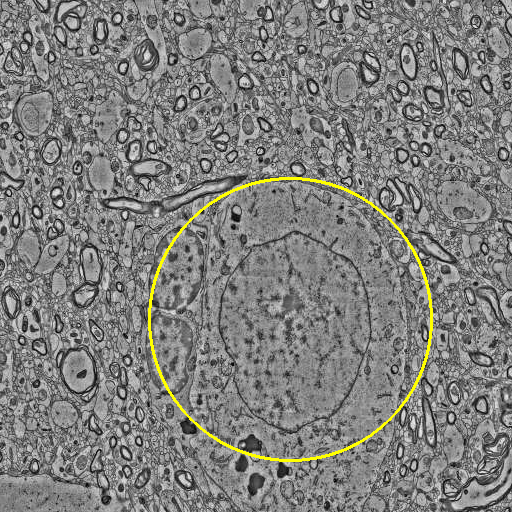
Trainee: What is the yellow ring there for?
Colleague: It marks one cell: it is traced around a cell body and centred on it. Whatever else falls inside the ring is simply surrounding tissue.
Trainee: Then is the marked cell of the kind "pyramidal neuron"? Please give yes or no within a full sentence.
Yes, the marked cell at the centre of the yellow ring is of the kind asked about.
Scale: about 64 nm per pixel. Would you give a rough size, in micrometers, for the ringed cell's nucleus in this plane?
About 13 by 10 micrometers, in this plane.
